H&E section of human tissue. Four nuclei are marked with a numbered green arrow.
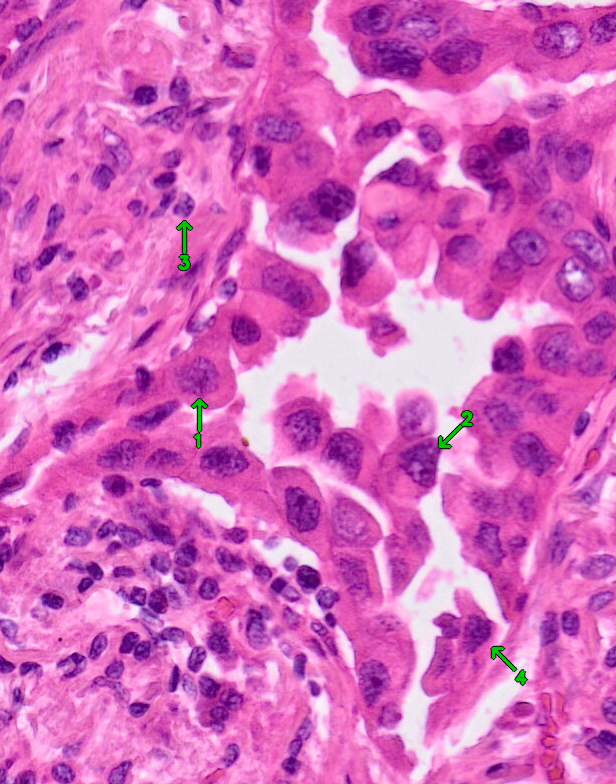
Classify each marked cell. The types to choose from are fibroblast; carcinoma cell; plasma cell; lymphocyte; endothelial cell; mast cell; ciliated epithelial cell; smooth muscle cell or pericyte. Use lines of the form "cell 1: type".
cell 1: carcinoma cell
cell 2: carcinoma cell
cell 3: lymphocyte
cell 4: carcinoma cell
